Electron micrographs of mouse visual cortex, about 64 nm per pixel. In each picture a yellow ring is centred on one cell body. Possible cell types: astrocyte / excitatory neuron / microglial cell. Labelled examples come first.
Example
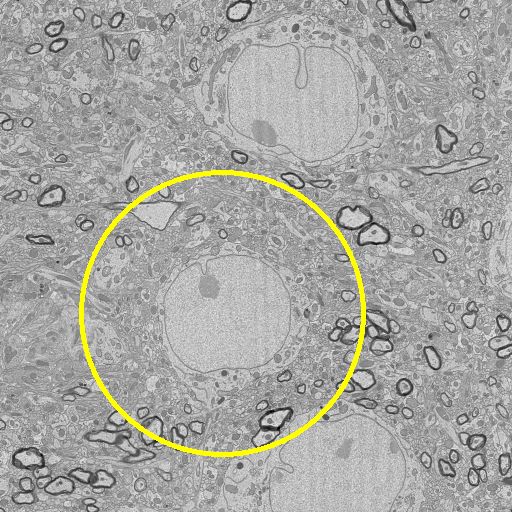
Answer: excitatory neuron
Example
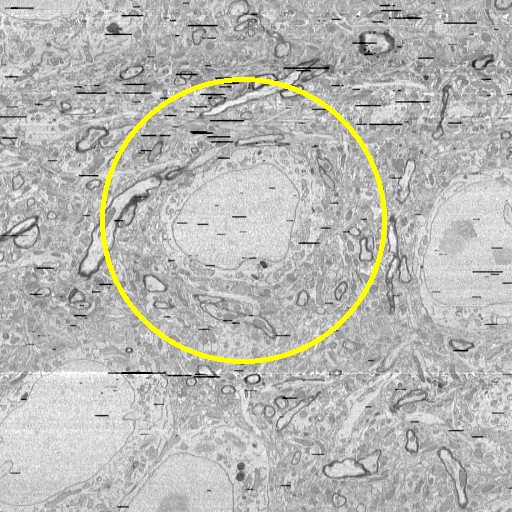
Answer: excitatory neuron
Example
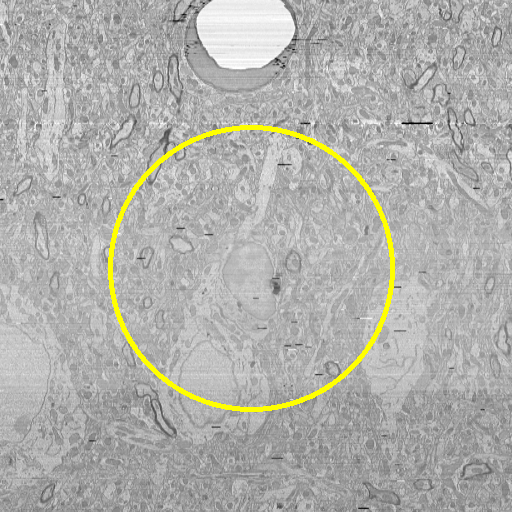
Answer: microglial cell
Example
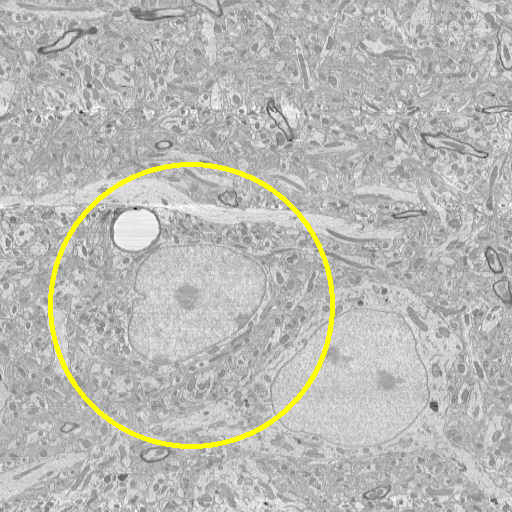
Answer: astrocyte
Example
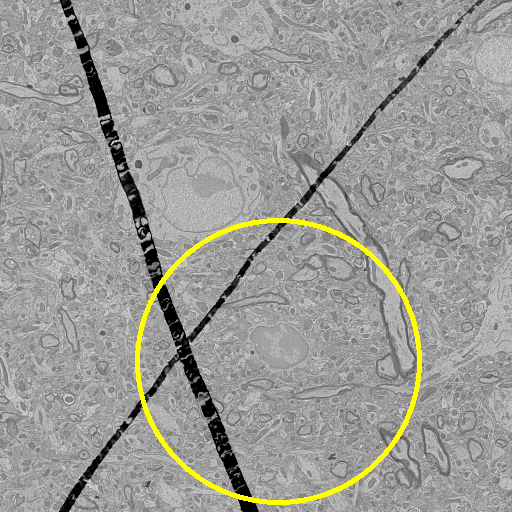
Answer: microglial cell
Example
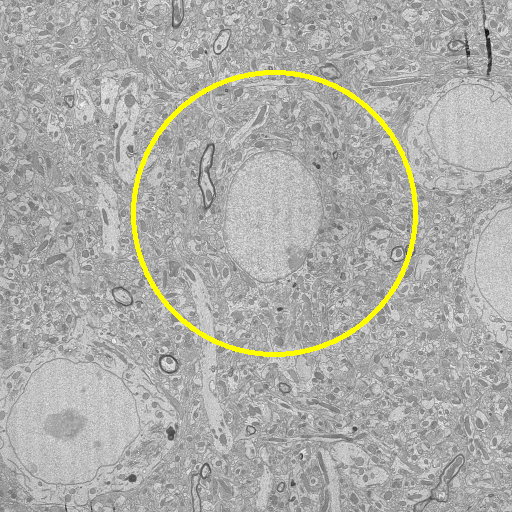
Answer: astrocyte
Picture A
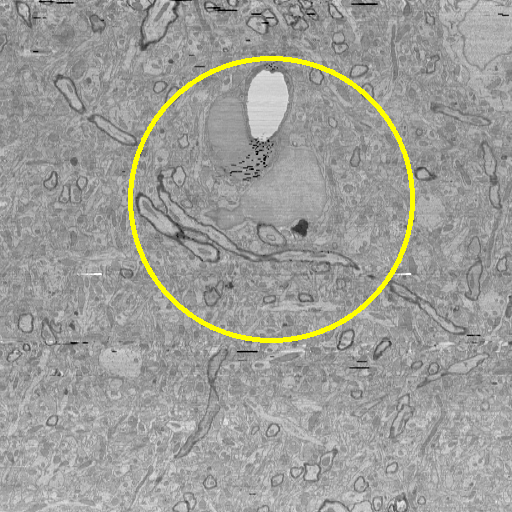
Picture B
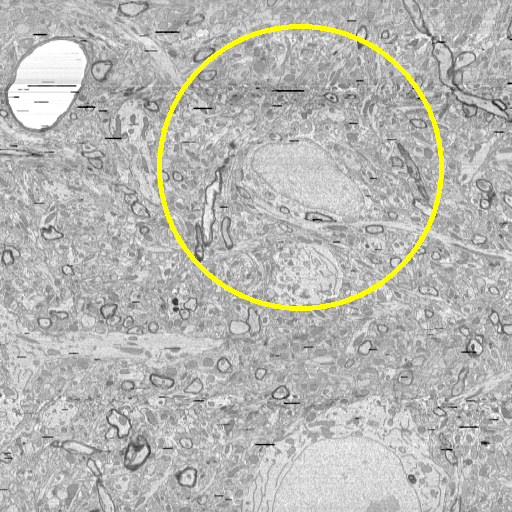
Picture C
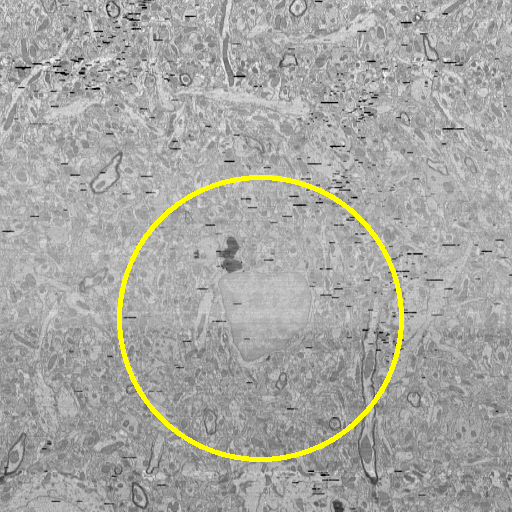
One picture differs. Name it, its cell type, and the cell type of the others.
B differs and shows astrocyte; the others show microglial cell.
